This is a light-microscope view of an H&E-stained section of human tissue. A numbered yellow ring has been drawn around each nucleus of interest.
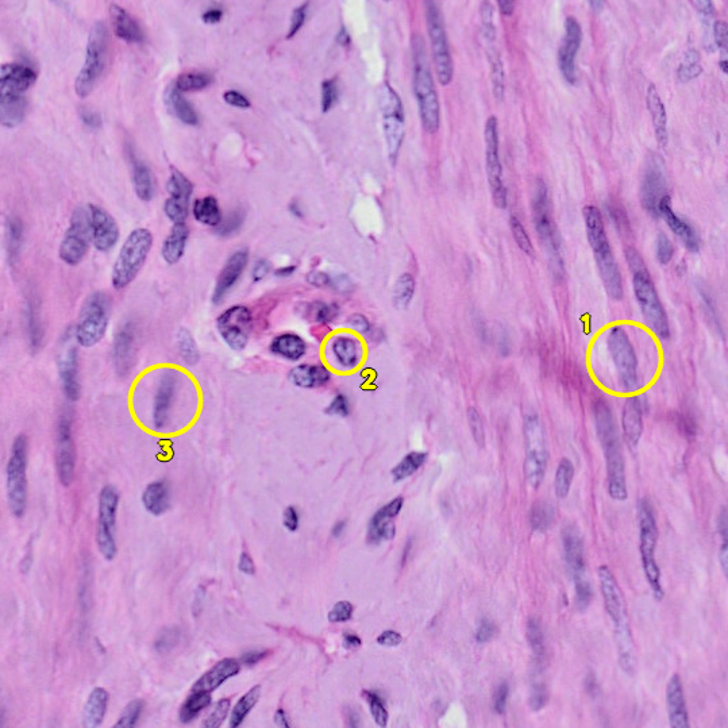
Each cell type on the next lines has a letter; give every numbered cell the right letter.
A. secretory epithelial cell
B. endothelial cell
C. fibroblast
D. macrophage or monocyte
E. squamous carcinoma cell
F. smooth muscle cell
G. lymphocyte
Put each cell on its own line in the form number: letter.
1: F
2: B
3: C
